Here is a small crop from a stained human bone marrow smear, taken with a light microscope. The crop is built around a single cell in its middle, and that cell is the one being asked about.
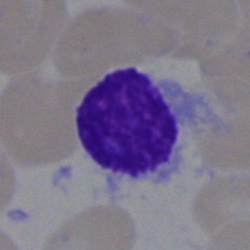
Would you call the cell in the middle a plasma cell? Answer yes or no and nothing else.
no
